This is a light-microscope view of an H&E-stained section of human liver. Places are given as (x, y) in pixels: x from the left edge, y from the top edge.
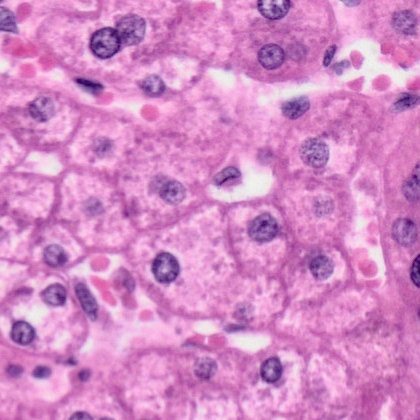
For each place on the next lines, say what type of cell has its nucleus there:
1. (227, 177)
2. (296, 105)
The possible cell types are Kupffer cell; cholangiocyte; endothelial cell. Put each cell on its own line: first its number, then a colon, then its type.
1: Kupffer cell
2: endothelial cell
